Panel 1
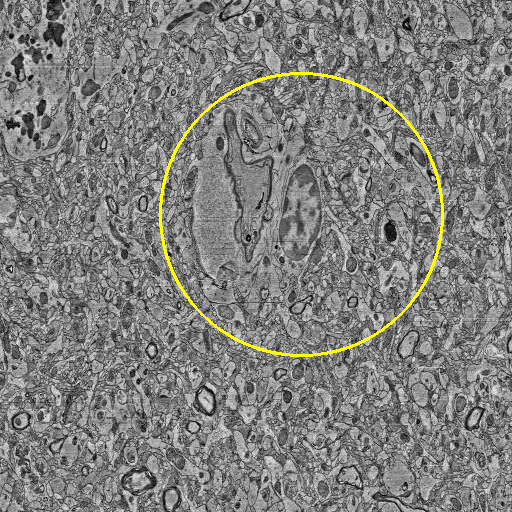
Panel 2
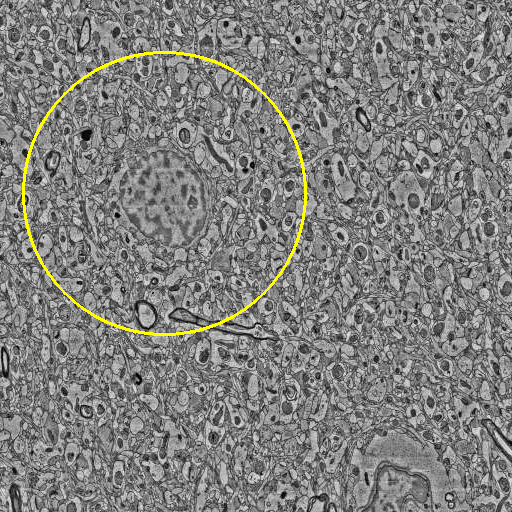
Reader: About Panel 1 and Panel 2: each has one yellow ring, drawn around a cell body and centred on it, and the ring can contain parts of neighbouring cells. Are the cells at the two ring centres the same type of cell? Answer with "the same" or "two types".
the same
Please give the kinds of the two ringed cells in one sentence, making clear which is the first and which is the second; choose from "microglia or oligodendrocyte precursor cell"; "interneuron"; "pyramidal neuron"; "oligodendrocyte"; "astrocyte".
The cell at the ring centre is a microglial cell or oligodendrocyte precursor cell in both pictures.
